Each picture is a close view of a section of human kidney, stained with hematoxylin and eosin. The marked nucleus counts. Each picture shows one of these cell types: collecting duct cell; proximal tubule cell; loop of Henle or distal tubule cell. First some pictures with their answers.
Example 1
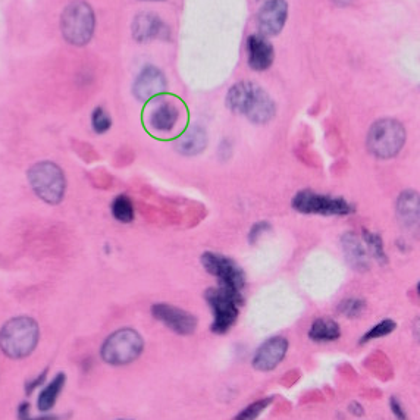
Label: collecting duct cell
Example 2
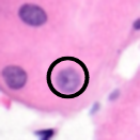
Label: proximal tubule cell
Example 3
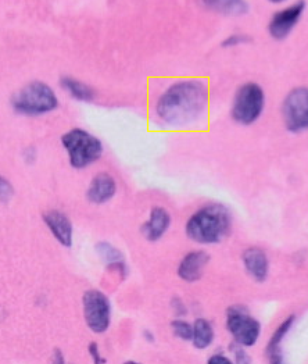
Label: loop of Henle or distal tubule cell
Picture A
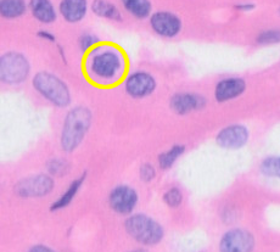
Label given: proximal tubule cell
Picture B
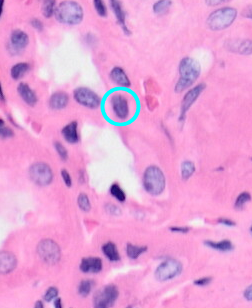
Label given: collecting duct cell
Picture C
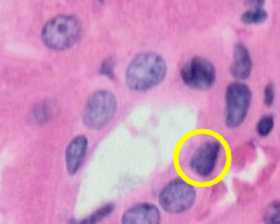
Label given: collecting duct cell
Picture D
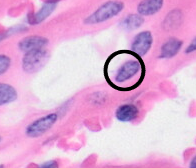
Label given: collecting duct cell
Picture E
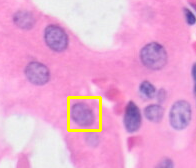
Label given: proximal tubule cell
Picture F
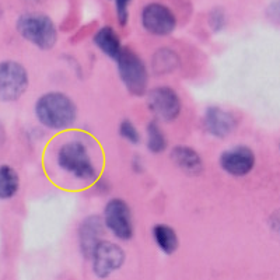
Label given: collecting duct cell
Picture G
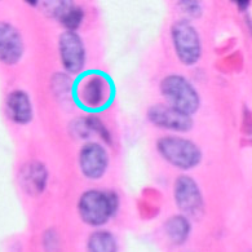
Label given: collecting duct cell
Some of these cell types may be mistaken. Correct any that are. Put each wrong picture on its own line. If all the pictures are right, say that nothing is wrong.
A should be collecting duct cell, not proximal tubule cell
